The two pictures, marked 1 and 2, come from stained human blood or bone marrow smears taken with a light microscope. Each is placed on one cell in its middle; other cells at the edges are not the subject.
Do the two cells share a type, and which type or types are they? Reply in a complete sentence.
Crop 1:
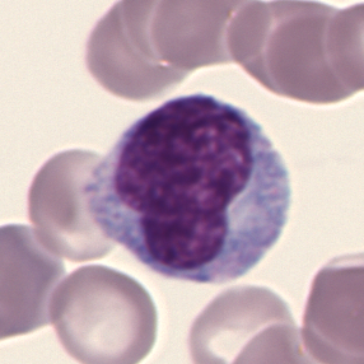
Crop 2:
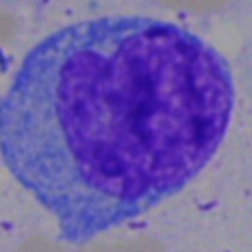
Yes, the cells at the middle of both crops are monocytes.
